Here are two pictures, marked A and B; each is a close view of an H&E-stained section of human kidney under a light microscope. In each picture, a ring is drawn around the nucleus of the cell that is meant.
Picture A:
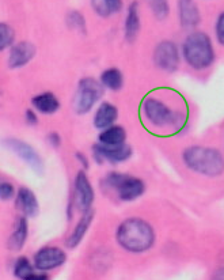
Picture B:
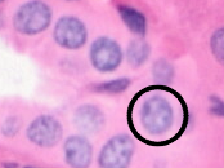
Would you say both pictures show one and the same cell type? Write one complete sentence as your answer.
Yes, both cells are collecting duct cells.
